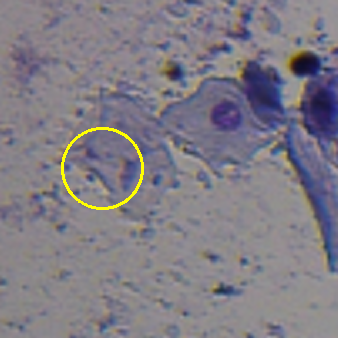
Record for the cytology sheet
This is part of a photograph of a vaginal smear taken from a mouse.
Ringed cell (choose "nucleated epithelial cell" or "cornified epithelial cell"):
cornified epithelial cell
